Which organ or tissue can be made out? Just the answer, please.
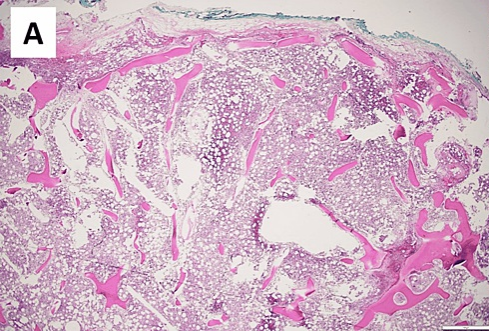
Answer: Bone trabeculae and well-developed bone marrow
